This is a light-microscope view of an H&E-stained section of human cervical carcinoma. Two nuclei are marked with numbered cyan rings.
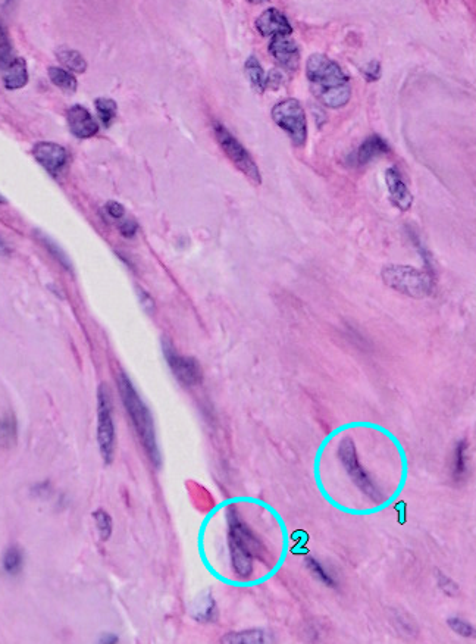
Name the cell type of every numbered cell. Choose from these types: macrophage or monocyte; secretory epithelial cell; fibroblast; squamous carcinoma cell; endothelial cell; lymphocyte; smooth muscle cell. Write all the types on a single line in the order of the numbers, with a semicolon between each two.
fibroblast; endothelial cell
